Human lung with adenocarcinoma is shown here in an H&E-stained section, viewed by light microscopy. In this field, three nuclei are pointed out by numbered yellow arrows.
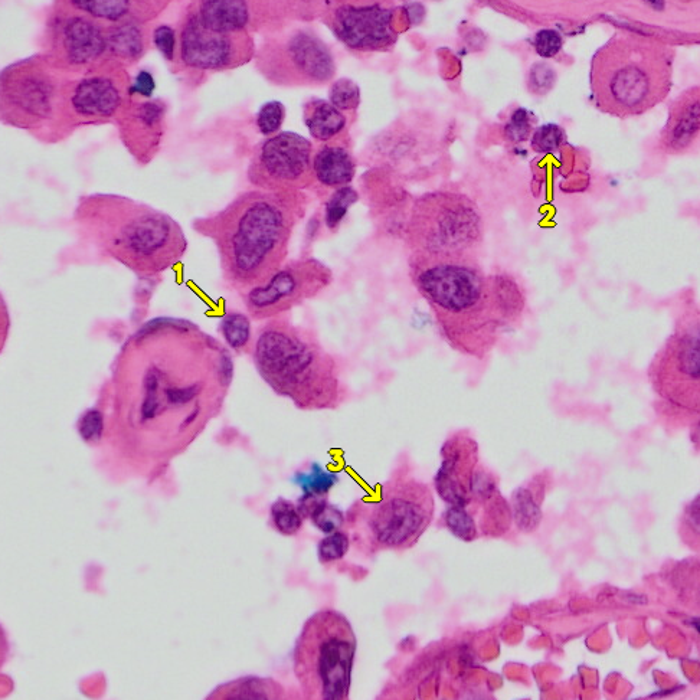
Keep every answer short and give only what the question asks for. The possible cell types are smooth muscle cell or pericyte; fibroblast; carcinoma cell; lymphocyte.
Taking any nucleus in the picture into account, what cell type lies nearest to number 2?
lymphocyte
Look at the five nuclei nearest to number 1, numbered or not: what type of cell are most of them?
fibroblast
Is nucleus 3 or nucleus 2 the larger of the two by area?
3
